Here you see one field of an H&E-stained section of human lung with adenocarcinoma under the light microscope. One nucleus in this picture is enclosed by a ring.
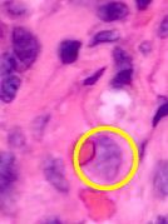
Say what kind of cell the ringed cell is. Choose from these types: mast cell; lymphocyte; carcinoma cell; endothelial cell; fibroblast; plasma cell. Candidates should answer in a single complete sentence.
Just put down that the ringed cell is an endothelial cell.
